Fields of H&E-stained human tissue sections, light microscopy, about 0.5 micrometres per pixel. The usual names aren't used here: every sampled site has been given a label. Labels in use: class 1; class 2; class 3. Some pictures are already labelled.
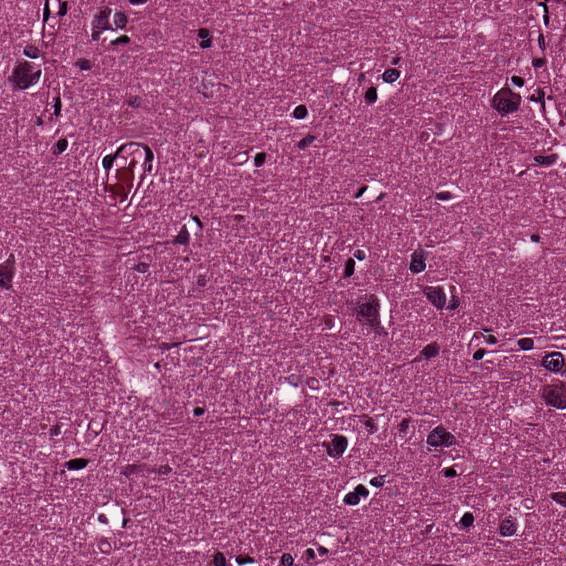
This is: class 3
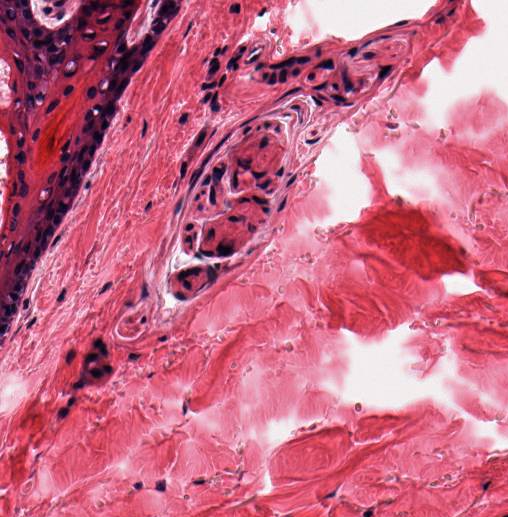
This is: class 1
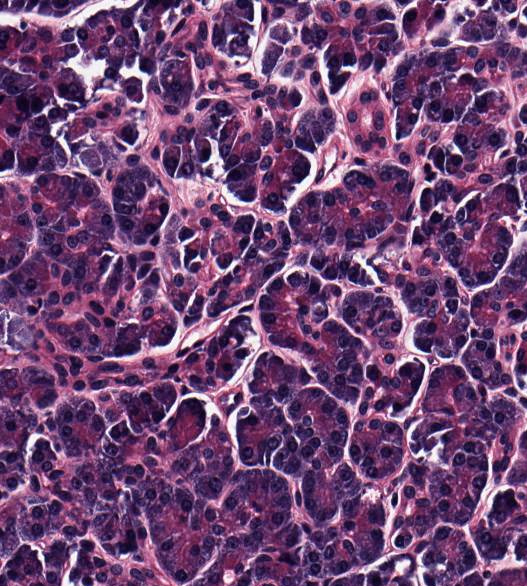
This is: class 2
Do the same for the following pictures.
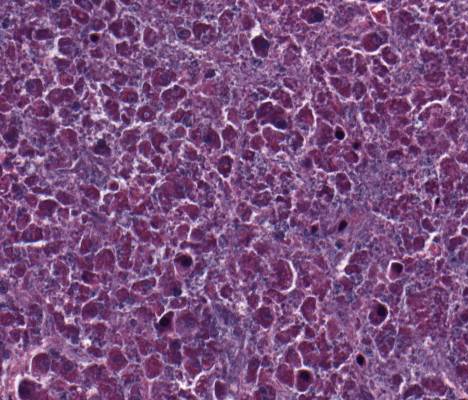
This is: class 2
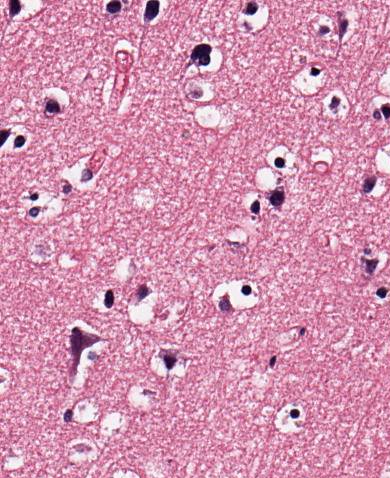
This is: class 3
